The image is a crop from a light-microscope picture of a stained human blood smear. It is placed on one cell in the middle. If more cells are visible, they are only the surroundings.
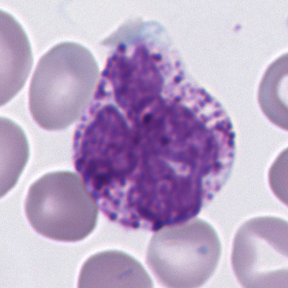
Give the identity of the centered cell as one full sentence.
The identification for the central cell is a basophil.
